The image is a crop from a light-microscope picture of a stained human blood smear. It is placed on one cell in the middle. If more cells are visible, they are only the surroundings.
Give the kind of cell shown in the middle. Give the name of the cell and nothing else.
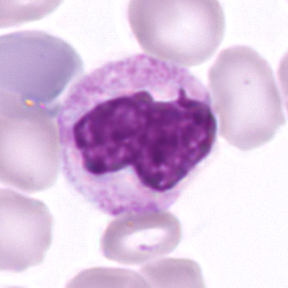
band neutrophil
